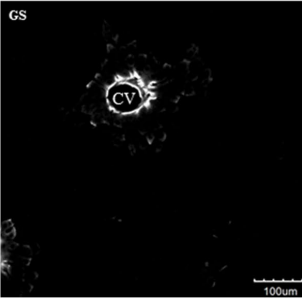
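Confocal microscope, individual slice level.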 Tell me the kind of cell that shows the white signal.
Hepatocytes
